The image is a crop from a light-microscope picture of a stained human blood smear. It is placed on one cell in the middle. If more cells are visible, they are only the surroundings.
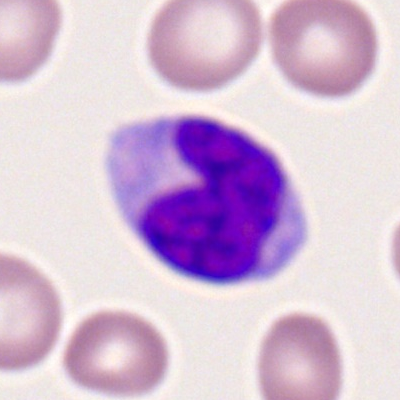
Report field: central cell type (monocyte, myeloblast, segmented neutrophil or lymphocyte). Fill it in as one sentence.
Here the cell in the middle is a monocyte.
